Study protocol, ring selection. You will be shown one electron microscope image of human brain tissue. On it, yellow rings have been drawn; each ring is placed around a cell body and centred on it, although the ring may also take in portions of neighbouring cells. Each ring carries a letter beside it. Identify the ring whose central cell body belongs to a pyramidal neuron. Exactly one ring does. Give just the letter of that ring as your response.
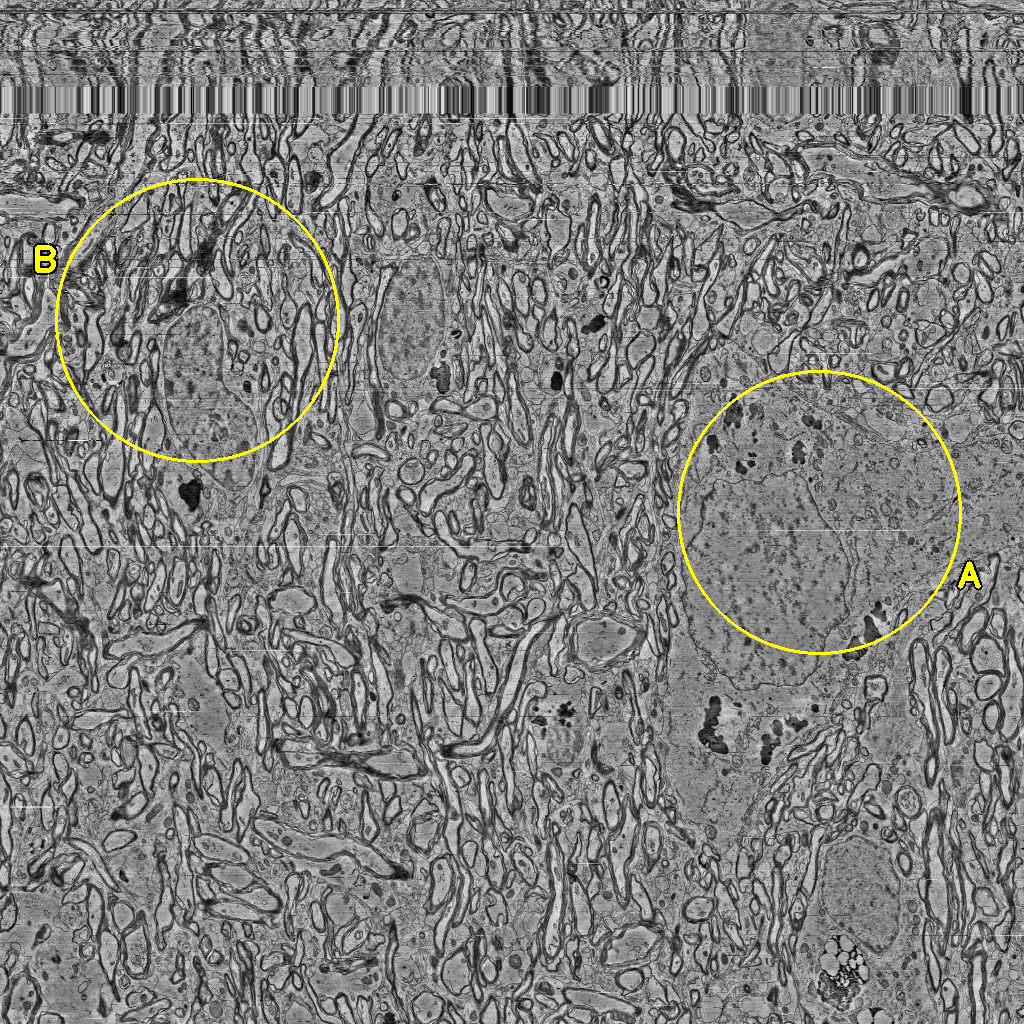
A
